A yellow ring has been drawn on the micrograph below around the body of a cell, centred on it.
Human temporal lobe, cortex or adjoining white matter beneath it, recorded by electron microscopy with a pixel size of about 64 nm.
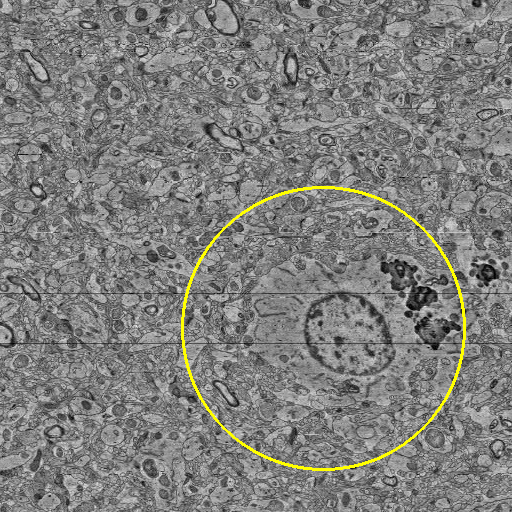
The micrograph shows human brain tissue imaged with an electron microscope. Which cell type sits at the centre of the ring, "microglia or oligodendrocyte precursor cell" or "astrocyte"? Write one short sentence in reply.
The cell sitting at the centre of the ring is an astrocyte.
